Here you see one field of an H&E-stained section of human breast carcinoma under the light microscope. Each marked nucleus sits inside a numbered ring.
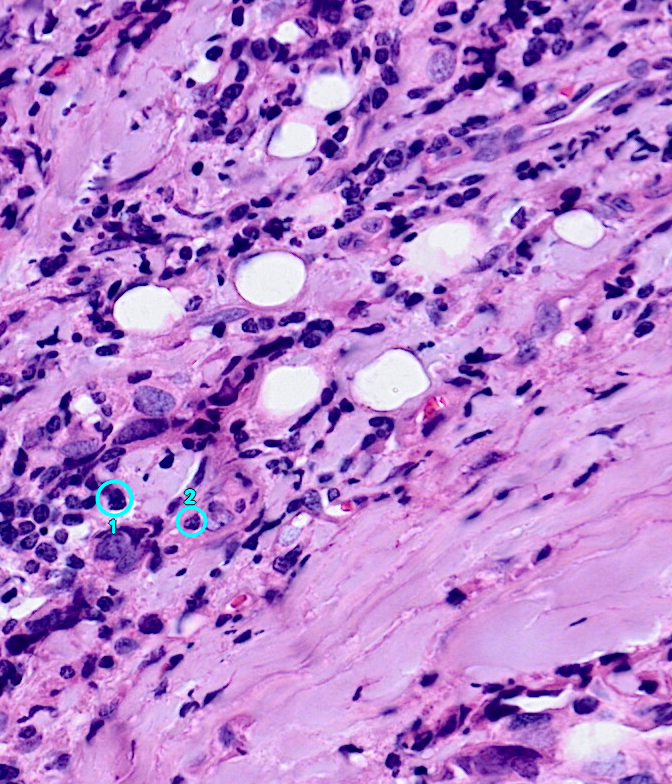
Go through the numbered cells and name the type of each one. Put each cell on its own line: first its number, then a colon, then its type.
1: lymphocyte
2: endothelial cell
